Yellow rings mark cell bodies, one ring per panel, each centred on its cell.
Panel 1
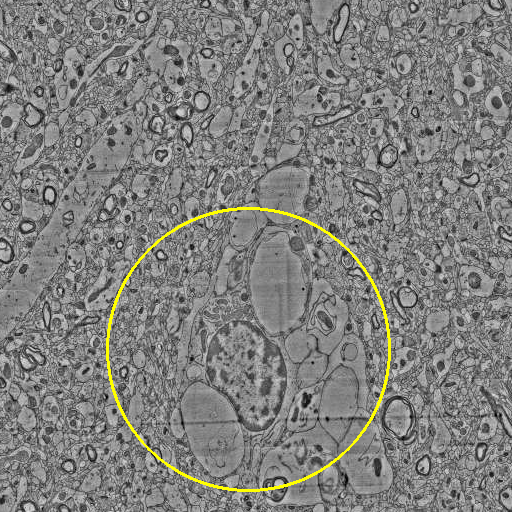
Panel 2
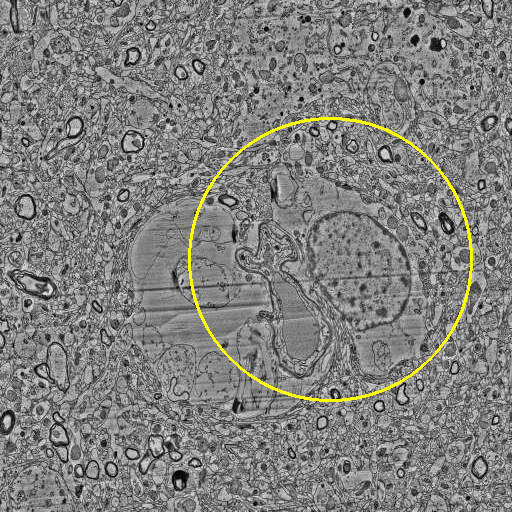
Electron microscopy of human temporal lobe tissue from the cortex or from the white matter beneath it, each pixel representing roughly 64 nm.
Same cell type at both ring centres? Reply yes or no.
yes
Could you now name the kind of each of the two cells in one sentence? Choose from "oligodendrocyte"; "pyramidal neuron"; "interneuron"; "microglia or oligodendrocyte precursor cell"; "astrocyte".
Each of the ringed cells, first and second, is a microglial cell or oligodendrocyte precursor cell.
